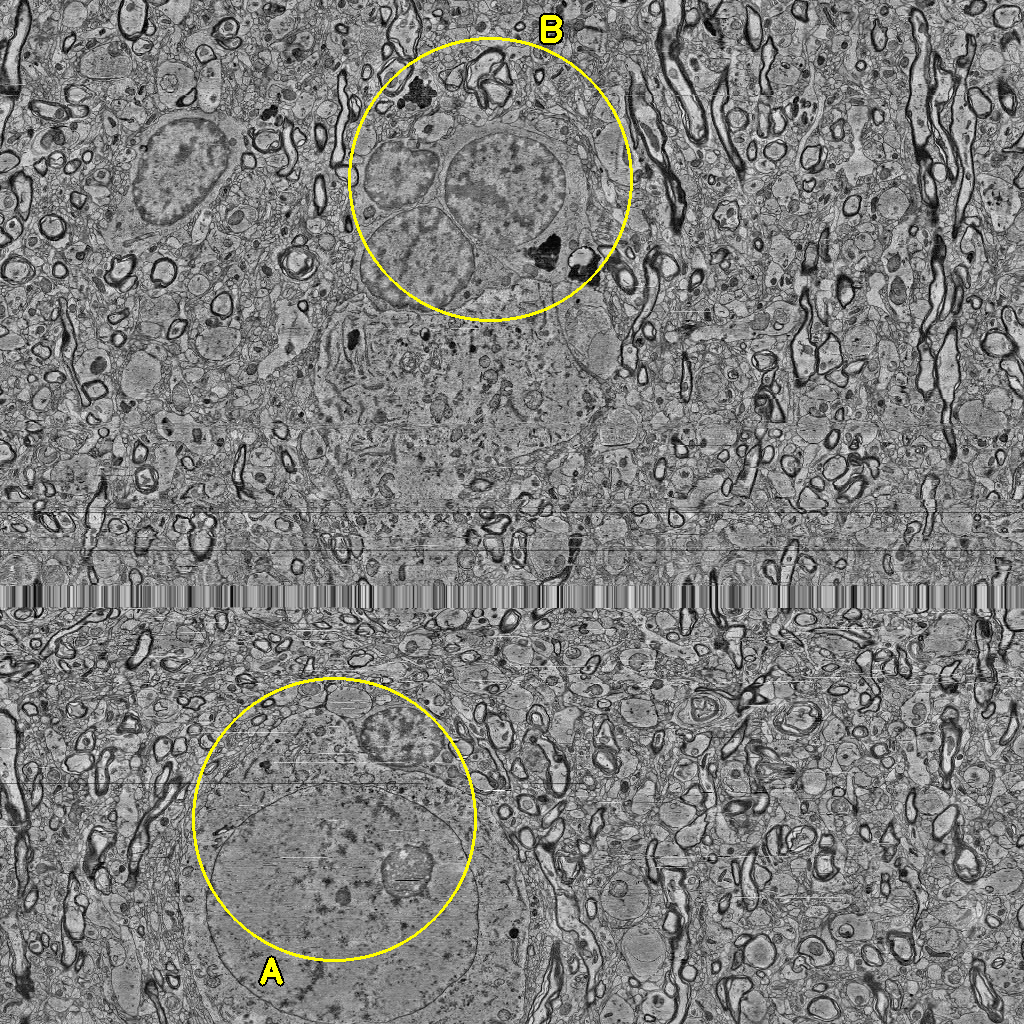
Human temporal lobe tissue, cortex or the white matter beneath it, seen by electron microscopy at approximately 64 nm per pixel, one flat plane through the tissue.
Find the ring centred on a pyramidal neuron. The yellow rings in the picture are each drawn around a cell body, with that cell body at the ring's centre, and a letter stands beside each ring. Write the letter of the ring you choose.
A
